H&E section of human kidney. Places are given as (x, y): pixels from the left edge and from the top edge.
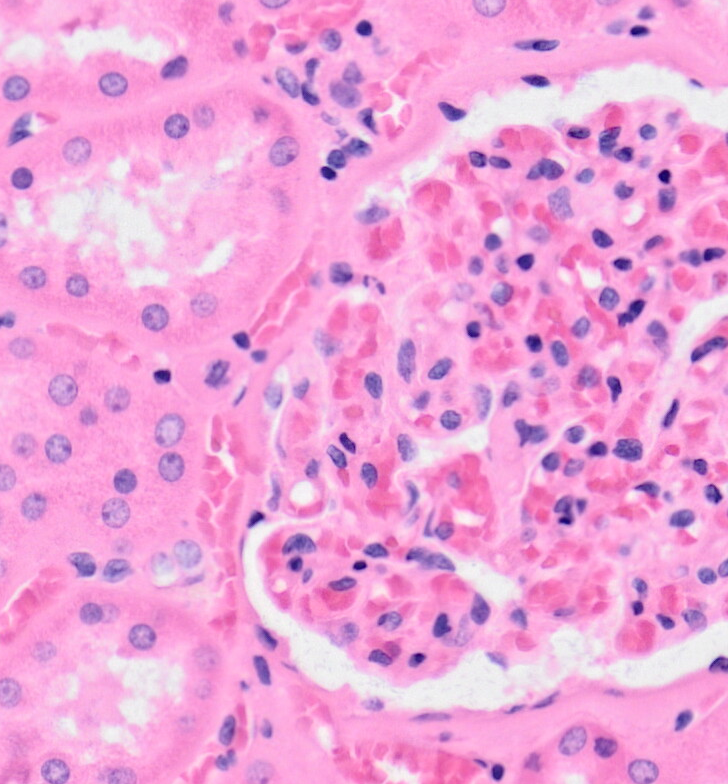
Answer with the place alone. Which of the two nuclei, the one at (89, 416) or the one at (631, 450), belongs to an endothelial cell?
(631, 450)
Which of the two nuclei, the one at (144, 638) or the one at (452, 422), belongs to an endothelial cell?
(452, 422)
